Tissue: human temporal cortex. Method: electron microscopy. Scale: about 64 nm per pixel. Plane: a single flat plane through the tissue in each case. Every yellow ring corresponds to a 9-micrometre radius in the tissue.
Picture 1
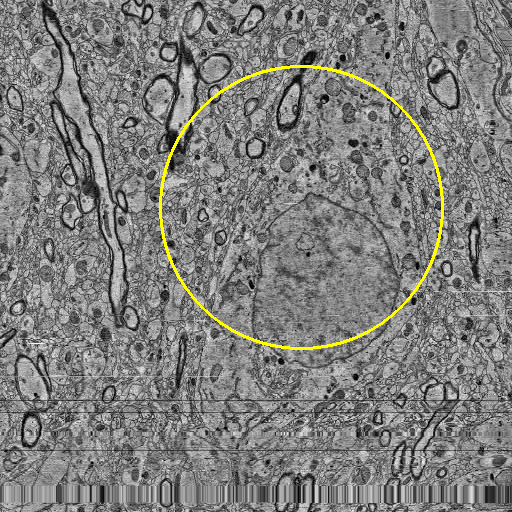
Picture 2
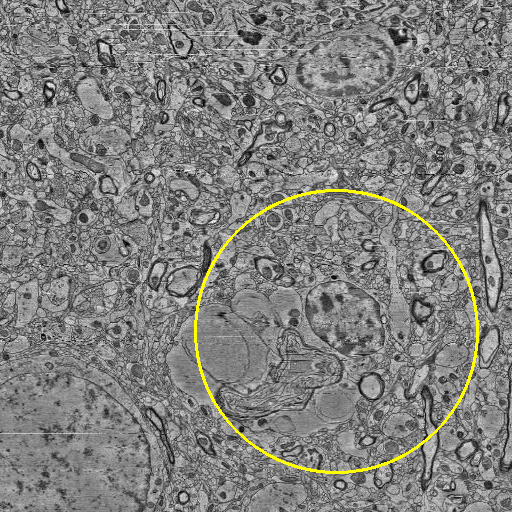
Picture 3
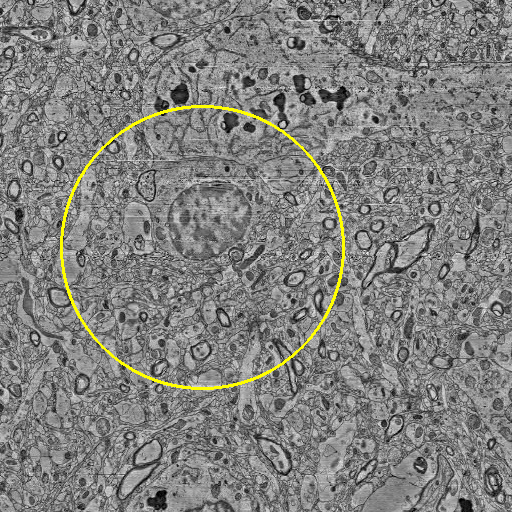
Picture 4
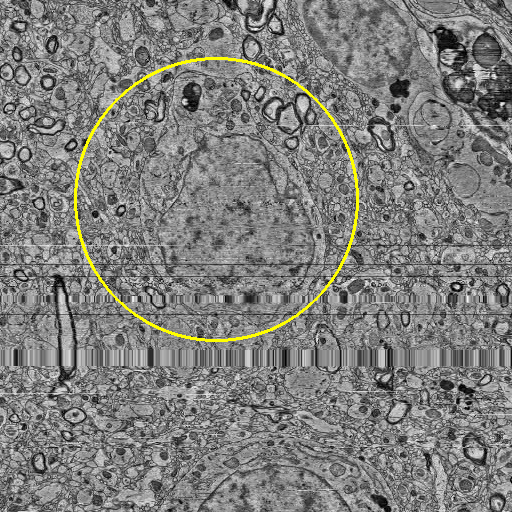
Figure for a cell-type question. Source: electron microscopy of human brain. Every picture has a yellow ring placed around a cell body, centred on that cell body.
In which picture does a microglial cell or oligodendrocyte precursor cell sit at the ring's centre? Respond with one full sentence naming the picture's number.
The cell in the middle of the ring in picture 2 is the one sought.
